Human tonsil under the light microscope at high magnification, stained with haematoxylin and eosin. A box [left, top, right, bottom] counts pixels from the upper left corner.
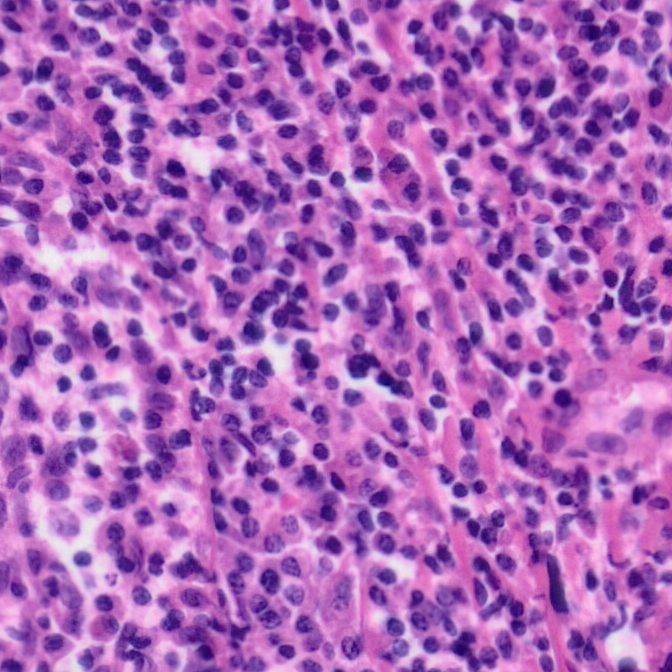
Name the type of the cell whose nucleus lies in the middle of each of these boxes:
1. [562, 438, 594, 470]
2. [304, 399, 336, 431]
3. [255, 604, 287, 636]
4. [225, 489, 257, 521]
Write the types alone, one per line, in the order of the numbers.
endothelial cell
plasma cell
plasma cell
plasma cell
